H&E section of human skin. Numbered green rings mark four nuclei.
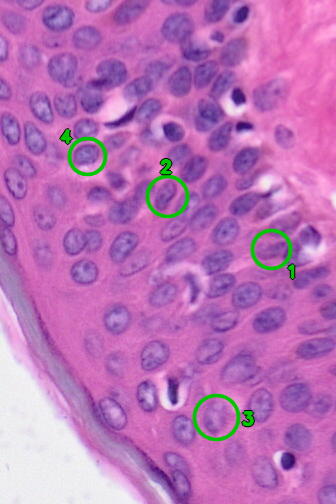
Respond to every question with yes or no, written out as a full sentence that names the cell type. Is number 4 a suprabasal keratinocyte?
No, number 4 is assigned to a basal keratinocyte, not to a suprabasal keratinocyte.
